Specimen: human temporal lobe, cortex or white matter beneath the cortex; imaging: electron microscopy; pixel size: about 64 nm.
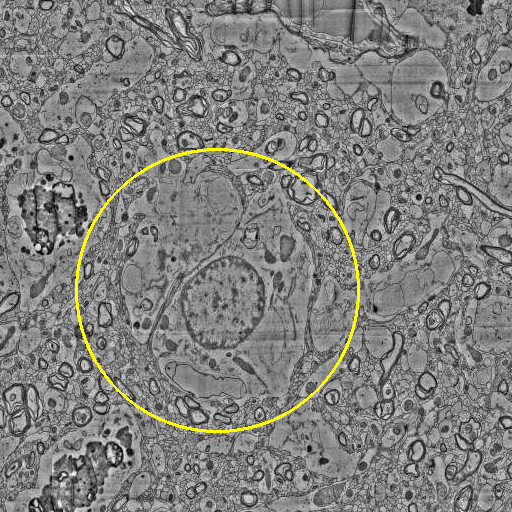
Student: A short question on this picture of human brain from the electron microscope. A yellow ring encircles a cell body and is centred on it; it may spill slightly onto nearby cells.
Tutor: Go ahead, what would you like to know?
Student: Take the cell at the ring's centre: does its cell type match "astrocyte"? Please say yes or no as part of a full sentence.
Yes, in the picture, the cell at the ring's centre has that cell type.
